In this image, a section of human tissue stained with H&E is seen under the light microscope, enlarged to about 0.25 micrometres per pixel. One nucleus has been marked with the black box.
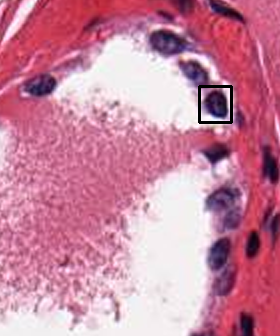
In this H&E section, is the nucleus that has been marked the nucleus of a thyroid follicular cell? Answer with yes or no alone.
yes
